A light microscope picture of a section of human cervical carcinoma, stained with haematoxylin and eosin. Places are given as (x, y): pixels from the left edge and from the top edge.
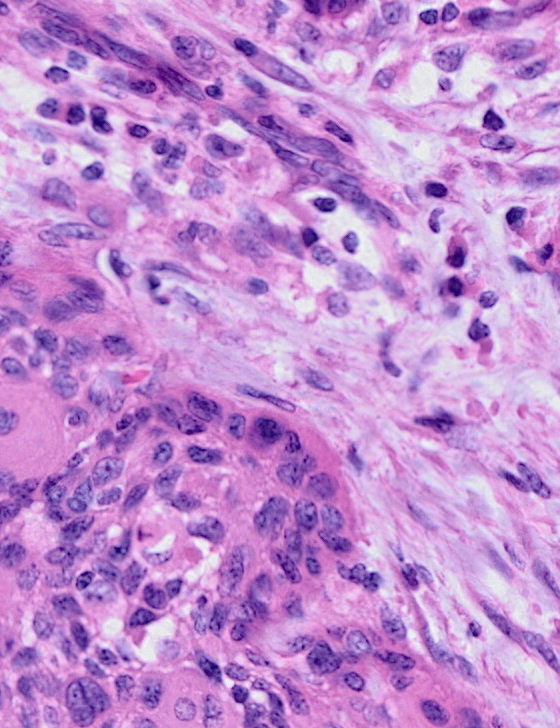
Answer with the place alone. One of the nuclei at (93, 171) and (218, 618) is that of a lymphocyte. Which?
(93, 171)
